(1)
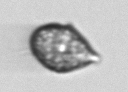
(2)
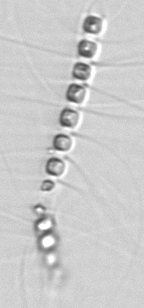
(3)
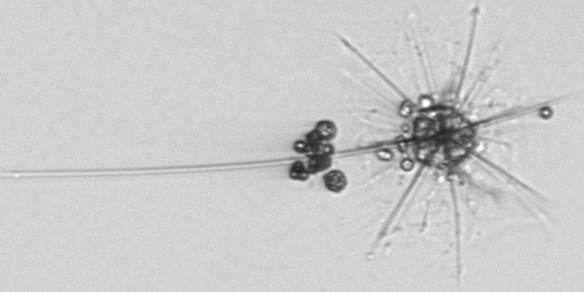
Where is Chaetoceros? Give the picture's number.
2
